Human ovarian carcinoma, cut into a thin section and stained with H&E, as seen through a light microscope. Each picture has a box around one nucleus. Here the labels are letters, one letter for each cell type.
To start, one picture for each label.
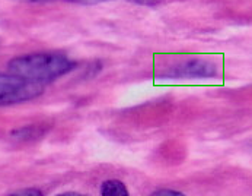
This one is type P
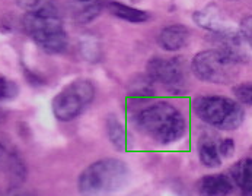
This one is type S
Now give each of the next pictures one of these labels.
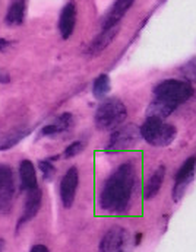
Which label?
type S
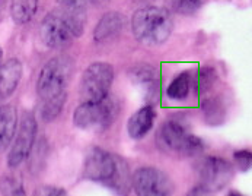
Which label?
type S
